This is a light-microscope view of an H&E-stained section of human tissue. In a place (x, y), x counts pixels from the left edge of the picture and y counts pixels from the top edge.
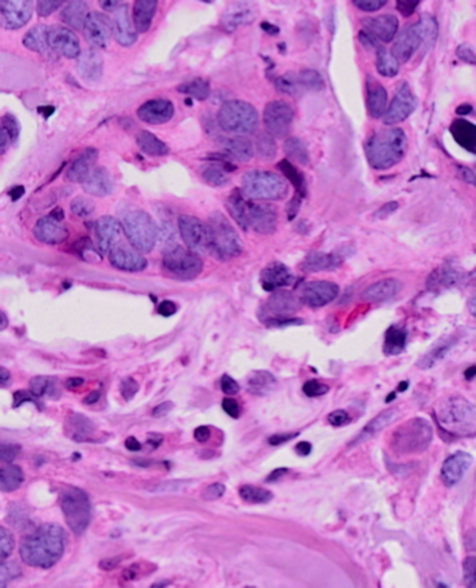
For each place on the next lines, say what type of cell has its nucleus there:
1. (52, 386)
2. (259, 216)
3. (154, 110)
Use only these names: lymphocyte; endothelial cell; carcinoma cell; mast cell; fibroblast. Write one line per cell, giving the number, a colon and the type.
1: endothelial cell
2: carcinoma cell
3: carcinoma cell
